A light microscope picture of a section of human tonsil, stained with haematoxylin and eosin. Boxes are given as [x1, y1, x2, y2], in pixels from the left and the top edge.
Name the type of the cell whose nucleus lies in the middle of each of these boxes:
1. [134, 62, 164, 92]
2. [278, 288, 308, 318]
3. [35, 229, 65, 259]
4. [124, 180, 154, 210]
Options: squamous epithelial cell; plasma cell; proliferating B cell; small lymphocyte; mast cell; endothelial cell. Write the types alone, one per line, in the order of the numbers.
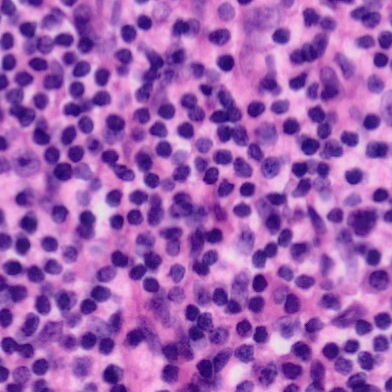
small lymphocyte
endothelial cell
small lymphocyte
small lymphocyte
